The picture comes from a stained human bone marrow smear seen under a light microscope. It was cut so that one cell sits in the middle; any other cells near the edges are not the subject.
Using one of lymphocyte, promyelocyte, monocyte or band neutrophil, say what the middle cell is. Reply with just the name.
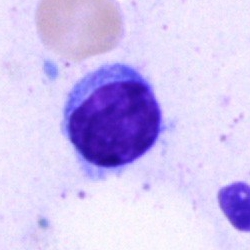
lymphocyte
